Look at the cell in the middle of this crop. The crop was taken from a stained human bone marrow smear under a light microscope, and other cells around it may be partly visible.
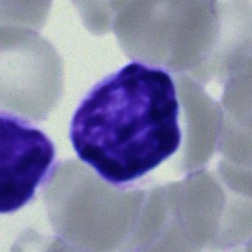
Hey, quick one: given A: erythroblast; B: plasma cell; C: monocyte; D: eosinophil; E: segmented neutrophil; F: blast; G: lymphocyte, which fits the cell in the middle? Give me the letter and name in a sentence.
Occupying the middle of the crop is a lymphocyte, hence option G is correct.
